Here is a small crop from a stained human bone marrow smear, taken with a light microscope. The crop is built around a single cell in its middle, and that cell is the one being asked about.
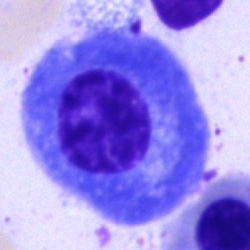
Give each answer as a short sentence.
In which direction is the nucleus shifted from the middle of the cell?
It is shifted toward the left of the cell.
